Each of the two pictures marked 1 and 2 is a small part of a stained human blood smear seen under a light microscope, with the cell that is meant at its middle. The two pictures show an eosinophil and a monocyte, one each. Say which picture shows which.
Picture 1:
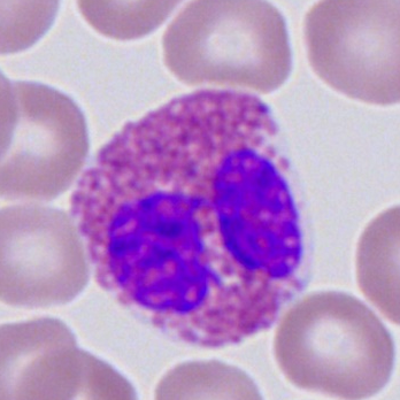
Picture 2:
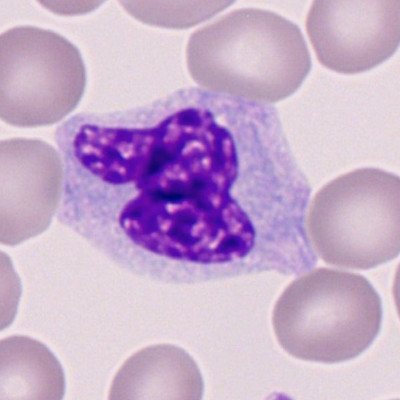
1: eosinophil
2: monocyte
